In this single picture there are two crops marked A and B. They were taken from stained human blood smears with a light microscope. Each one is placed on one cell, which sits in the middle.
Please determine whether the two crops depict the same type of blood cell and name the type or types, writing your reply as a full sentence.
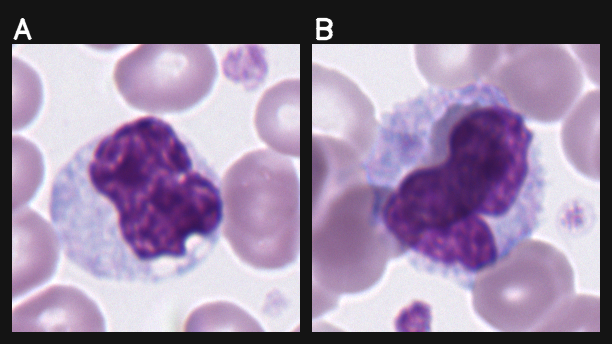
Yes, monocytes are depicted in both crops.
